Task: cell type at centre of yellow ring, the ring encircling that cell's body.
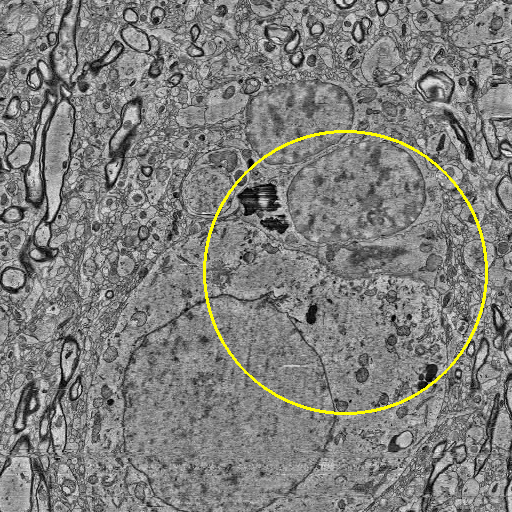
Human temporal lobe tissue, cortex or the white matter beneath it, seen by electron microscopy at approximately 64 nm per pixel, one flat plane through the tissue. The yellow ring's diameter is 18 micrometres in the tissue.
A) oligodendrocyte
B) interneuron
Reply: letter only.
A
